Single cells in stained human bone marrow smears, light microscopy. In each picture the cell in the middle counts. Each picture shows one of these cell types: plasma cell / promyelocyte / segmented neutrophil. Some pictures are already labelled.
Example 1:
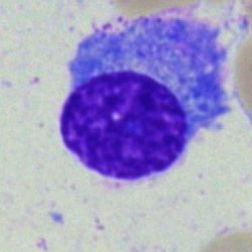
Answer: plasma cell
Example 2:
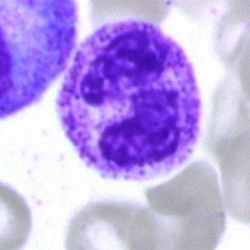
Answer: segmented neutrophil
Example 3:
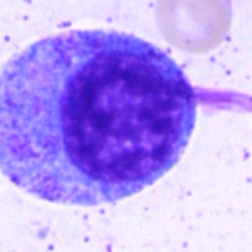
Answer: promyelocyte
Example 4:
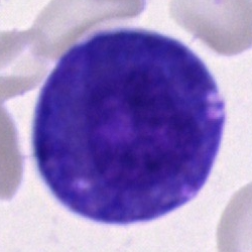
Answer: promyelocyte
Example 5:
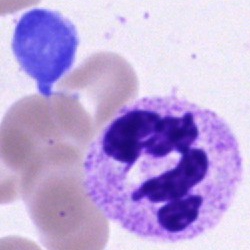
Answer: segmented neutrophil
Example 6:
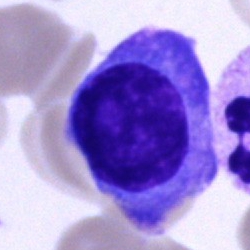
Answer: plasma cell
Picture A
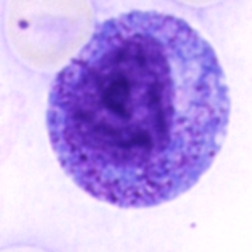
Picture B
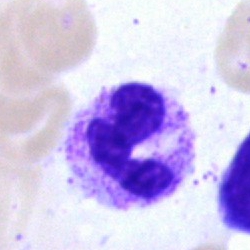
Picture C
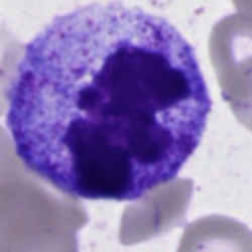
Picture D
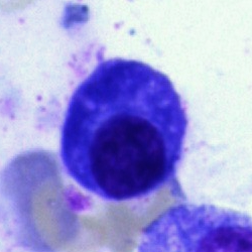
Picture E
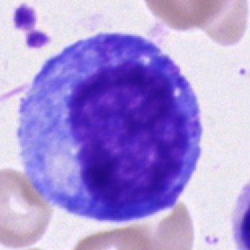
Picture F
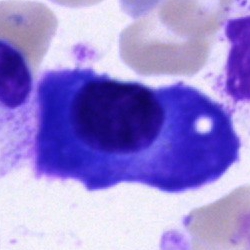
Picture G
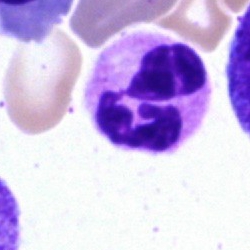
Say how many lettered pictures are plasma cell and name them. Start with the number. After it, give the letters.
2, namely D, F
